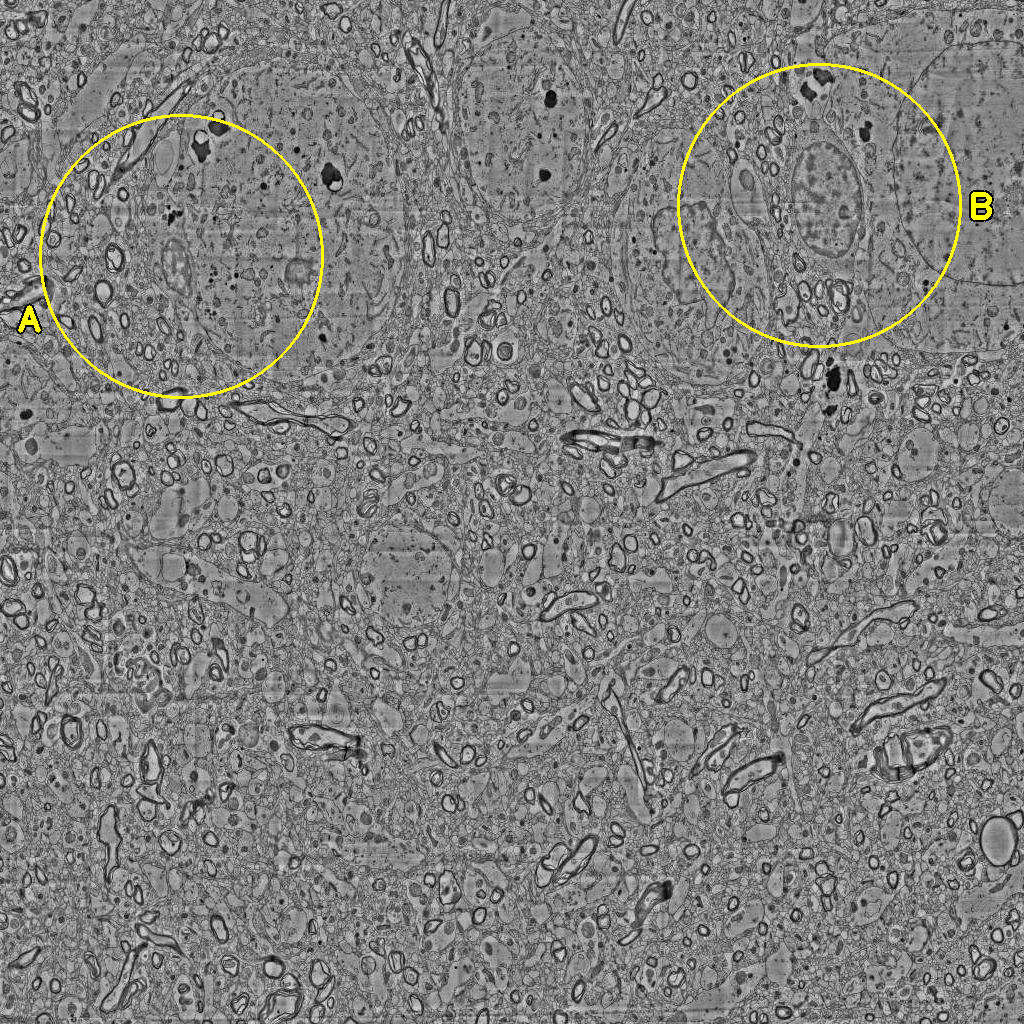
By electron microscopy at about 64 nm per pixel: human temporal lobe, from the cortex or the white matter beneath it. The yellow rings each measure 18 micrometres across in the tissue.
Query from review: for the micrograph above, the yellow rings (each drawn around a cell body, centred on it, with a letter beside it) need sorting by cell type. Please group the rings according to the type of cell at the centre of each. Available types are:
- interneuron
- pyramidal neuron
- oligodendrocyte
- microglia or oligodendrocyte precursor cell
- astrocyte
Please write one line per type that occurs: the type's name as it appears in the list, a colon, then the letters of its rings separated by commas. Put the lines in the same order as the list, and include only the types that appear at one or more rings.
oligodendrocyte: A, B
